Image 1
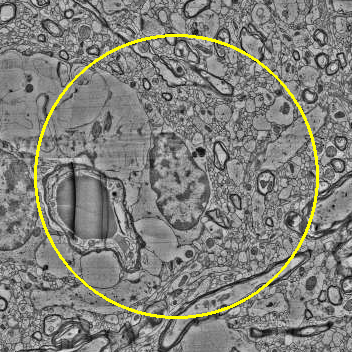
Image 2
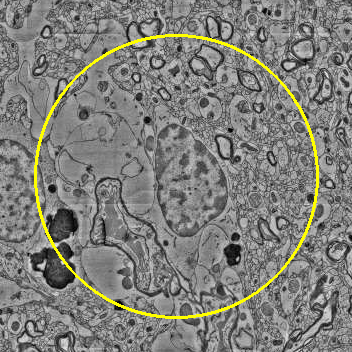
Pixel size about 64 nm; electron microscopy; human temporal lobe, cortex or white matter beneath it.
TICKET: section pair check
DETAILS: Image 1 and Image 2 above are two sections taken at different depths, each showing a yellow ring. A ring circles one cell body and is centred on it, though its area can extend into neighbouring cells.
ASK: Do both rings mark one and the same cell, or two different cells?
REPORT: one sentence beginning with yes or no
Yes, the first and second rings frame the same single cell.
